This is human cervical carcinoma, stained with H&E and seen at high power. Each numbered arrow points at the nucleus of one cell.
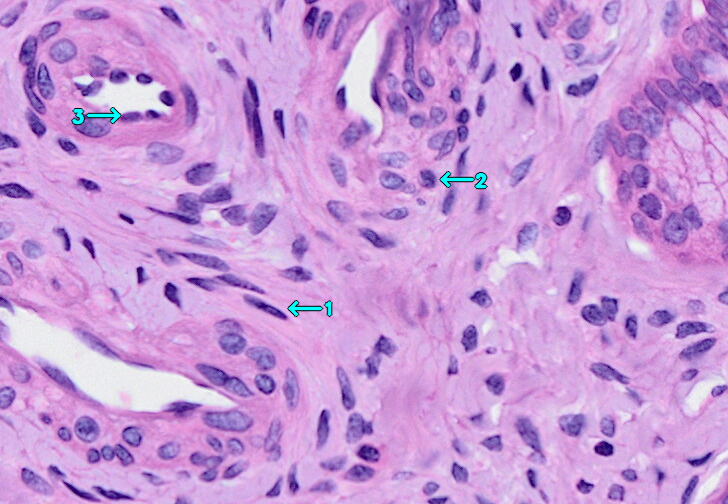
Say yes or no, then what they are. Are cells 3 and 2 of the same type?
No, cell 3 is an endothelial cell and cell 2 is a smooth muscle cell.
